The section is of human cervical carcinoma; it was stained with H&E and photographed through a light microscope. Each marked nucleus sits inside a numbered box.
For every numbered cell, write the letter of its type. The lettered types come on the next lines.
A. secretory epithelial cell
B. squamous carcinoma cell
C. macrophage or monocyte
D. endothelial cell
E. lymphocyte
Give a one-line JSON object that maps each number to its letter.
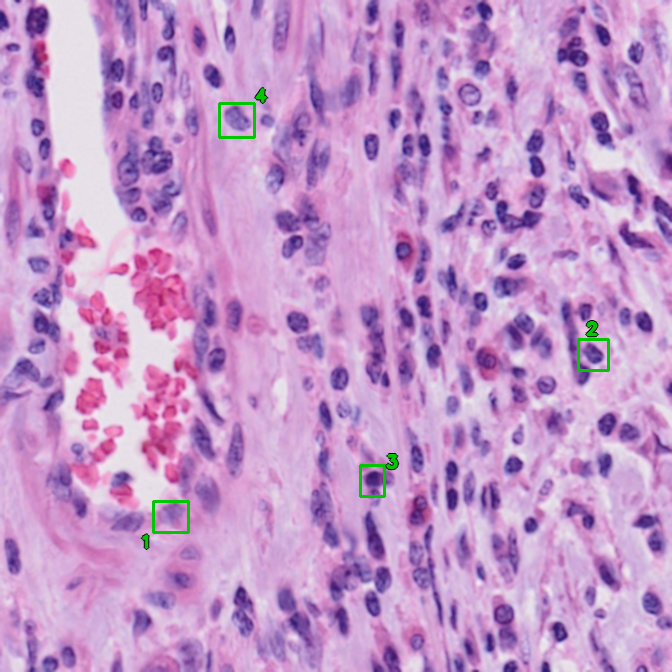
{"1": "D", "2": "E", "3": "E", "4": "E"}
